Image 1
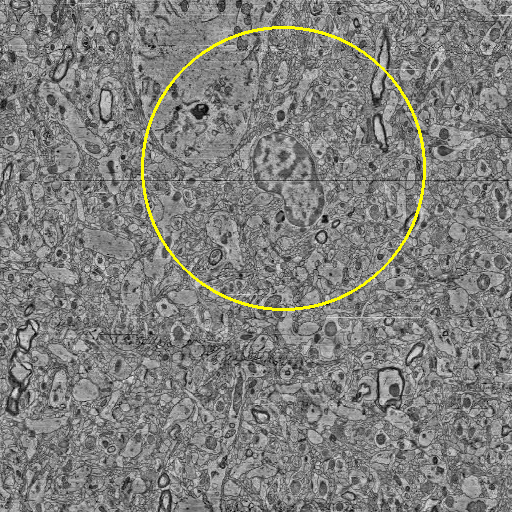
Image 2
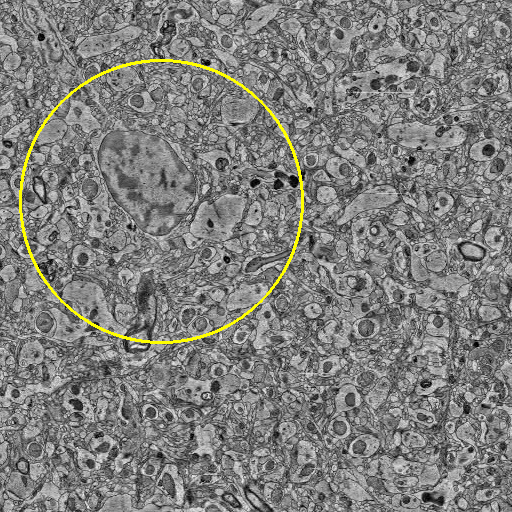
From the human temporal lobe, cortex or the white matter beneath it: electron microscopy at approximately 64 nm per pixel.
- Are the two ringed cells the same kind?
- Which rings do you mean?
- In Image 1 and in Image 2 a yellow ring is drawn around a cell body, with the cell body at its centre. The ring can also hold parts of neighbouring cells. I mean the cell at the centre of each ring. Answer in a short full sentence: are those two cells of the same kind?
Yes, both cells are of the same kind.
